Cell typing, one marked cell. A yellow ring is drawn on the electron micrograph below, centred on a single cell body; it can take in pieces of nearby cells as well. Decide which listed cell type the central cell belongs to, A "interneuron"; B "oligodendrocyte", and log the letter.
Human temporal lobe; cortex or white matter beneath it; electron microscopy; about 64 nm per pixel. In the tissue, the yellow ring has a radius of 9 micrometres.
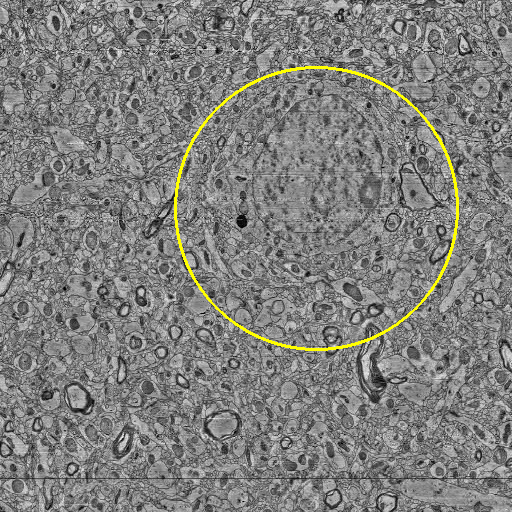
A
